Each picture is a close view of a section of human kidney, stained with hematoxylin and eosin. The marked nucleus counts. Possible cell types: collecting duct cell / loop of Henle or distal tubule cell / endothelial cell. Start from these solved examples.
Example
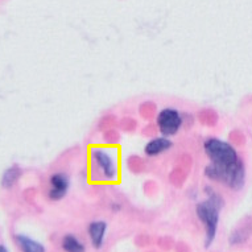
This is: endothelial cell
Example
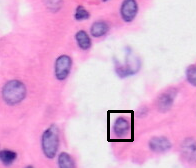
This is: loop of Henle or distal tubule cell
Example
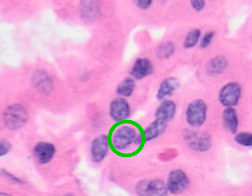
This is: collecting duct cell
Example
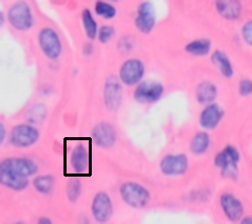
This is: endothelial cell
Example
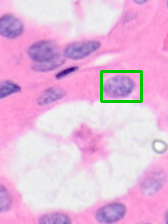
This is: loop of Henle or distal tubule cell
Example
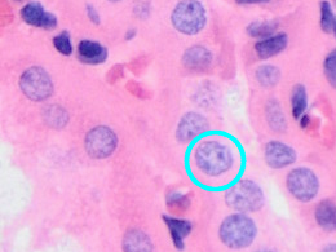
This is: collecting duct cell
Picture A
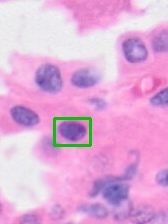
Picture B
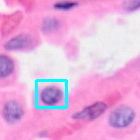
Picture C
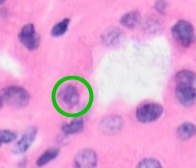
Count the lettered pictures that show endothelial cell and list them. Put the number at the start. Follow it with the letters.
0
